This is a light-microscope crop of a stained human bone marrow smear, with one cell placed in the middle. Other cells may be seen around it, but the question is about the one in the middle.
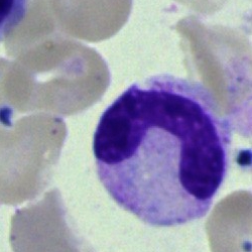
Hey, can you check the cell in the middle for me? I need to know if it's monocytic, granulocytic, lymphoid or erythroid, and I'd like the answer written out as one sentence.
That the central cell belongs to the granulocytic lineage is the finding here.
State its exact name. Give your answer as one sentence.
The cell around which this crop is centred is a band neutrophil.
